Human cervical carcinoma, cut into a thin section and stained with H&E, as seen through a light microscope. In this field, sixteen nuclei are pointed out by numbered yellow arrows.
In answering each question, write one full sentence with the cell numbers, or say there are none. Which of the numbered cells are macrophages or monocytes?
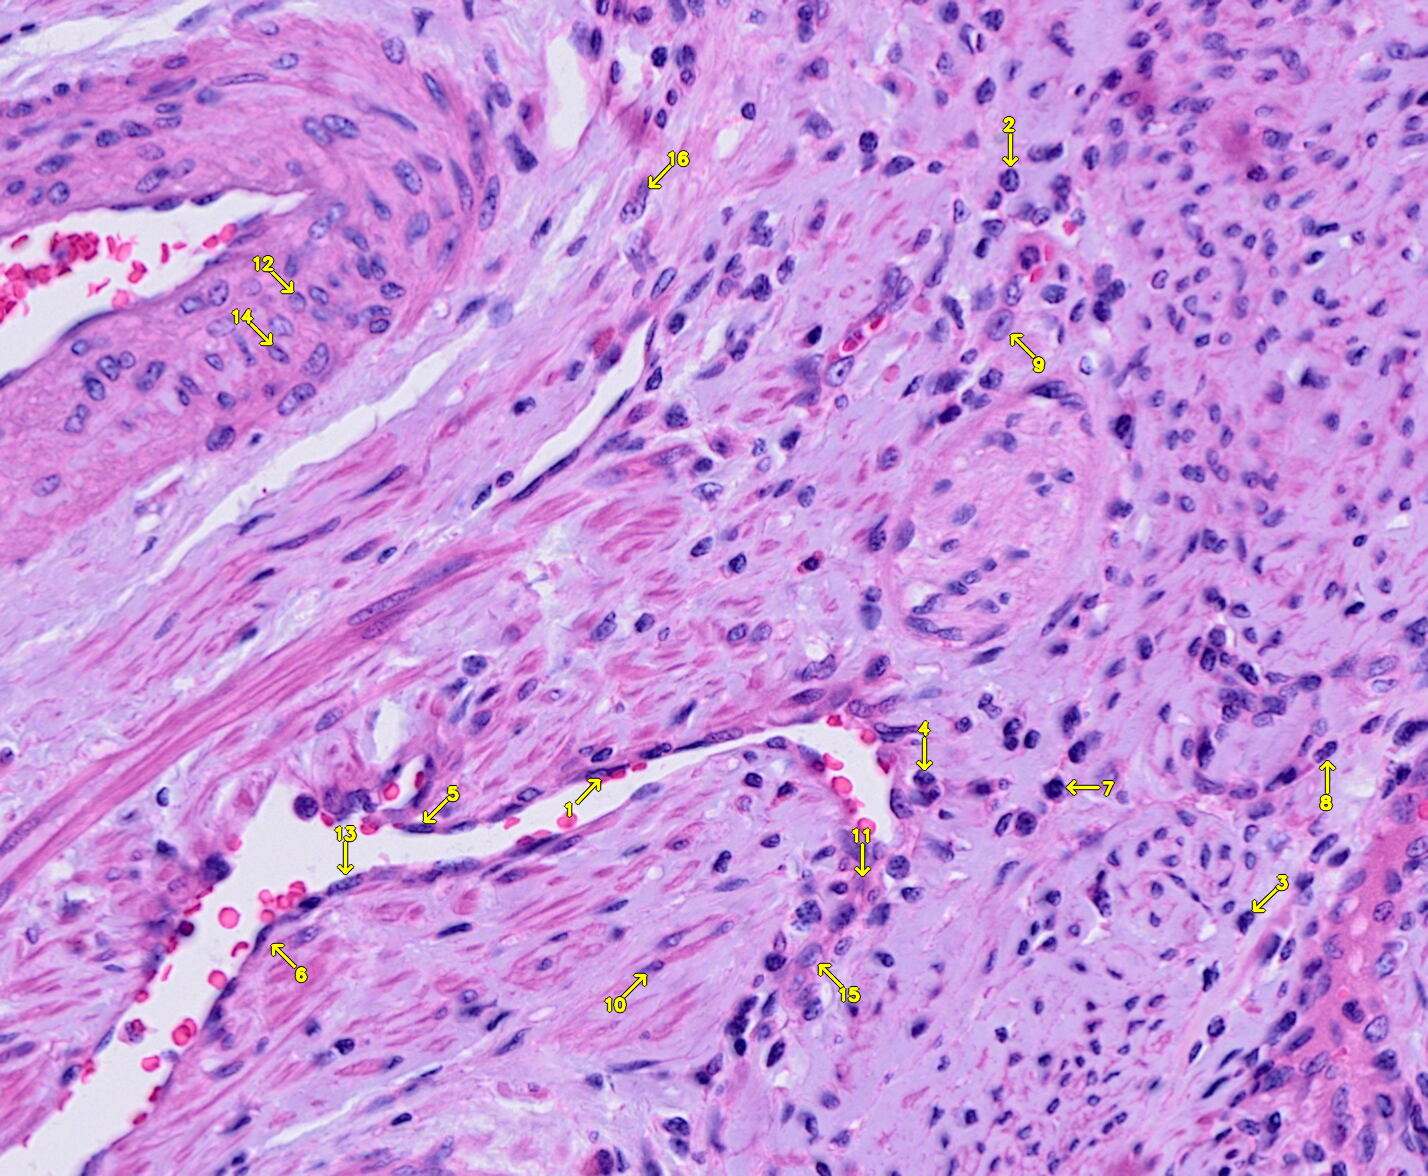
Among the numbered cells, a macrophage or monocyte occurs only once, as cell 16.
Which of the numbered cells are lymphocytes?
The cells carrying labels 2, 3, 4, 7 and 8 are lymphocytes.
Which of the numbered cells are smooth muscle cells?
The cells that have been numbered 10, 12 and 14 are smooth muscle cells.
